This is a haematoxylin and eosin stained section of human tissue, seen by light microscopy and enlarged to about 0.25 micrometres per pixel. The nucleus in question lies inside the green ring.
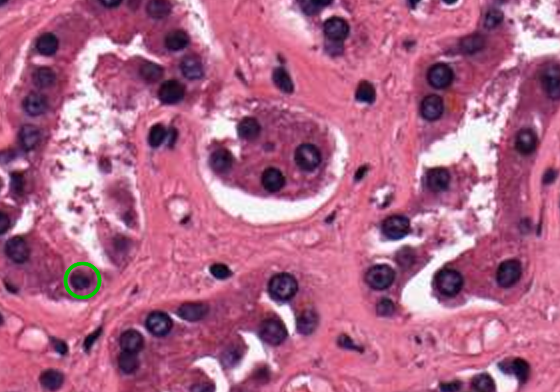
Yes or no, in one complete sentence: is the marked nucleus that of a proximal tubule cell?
Yes, it is within a proximal tubule cell that the marked nucleus lies.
